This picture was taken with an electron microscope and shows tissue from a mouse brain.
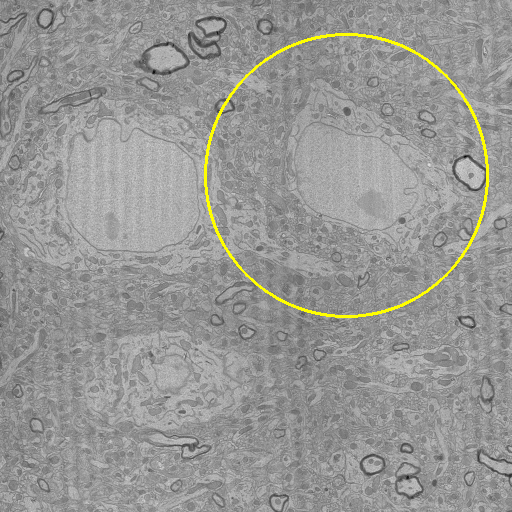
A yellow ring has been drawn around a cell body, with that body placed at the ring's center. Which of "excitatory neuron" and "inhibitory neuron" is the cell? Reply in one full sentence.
In this picture, an excitatory neuron is the cell at the center of the yellow ring.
